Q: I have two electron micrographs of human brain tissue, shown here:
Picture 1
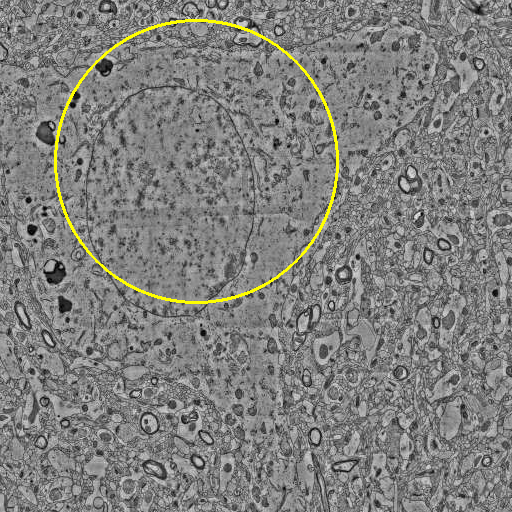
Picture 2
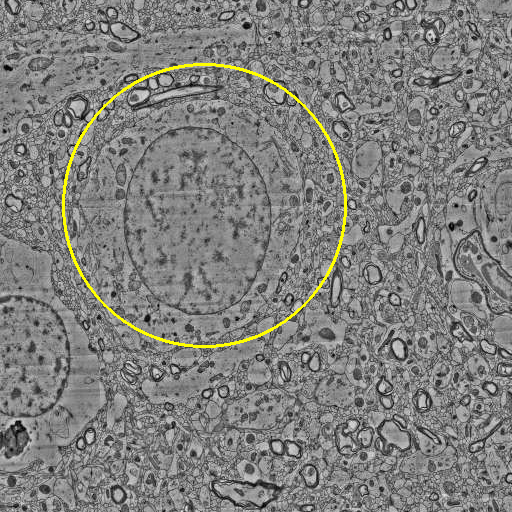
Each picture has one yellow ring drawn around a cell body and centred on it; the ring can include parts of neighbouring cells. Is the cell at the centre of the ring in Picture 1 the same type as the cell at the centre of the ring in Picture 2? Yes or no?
no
